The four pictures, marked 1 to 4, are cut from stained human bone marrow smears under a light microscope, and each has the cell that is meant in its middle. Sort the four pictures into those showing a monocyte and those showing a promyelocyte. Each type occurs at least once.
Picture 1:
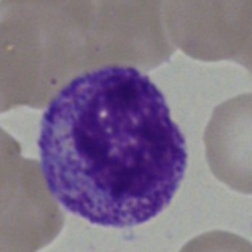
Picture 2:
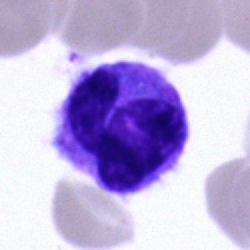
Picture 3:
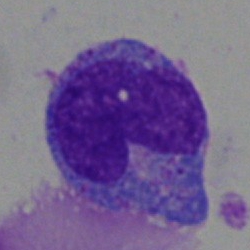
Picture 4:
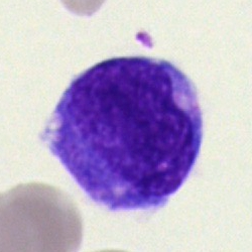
1: promyelocyte
2: monocyte
3: monocyte
4: monocyte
